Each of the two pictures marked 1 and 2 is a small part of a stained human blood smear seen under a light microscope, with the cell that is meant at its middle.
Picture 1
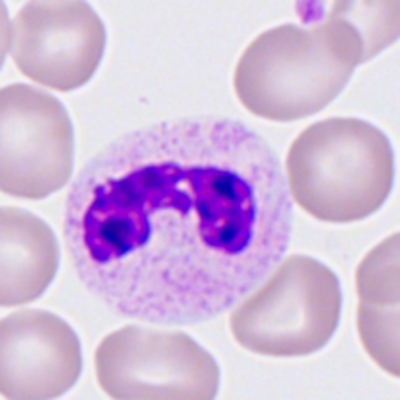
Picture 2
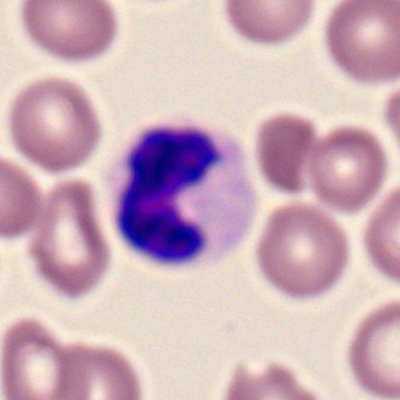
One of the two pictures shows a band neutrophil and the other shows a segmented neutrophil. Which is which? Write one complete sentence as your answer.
In picture 1 the cell is a band neutrophil; in picture 2, a segmented neutrophil.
